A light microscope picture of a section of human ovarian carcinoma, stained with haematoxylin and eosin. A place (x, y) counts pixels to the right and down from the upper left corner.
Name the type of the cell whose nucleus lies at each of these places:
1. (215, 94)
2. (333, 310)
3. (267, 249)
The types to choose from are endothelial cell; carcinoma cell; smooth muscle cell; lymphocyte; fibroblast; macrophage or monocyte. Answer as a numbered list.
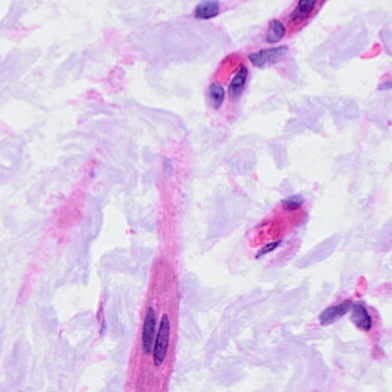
1. endothelial cell
2. fibroblast
3. endothelial cell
